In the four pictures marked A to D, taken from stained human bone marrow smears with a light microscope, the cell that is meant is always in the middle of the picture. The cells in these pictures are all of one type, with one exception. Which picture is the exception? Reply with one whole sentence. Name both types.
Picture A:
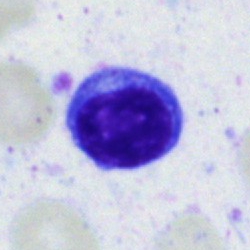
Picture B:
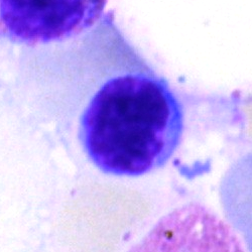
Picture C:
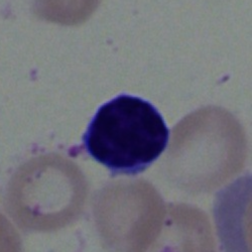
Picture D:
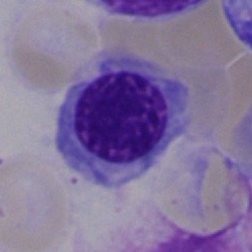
Picture D differs, because its cell is an erythroblast and the rest are lymphocytes.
